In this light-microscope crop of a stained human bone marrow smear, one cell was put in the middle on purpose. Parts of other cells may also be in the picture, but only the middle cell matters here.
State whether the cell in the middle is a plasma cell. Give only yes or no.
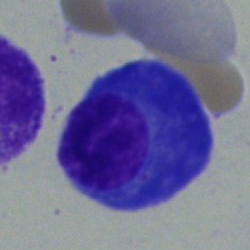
yes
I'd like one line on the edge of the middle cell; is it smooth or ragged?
Smooth all around, the outline has no projections to report.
